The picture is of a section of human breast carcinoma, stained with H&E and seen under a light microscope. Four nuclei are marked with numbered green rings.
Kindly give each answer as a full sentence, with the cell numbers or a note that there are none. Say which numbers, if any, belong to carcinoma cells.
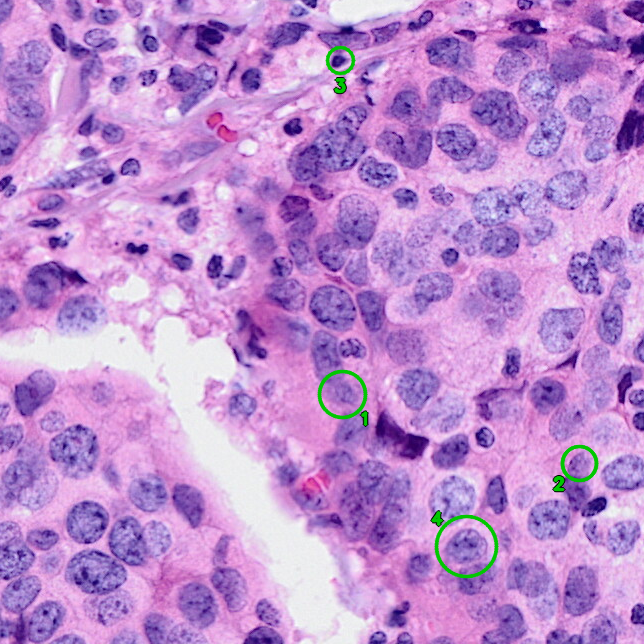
The cells with labels 1, 2 and 4 are carcinoma cells.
